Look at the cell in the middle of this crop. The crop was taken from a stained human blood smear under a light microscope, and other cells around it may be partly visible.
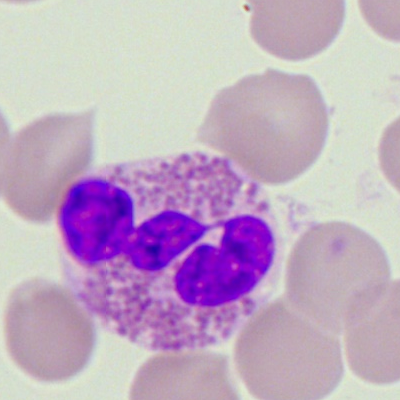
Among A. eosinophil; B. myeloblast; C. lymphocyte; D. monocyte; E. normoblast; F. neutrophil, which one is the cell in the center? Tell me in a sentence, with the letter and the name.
Option A correctly names the cell in the middle as an eosinophil.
